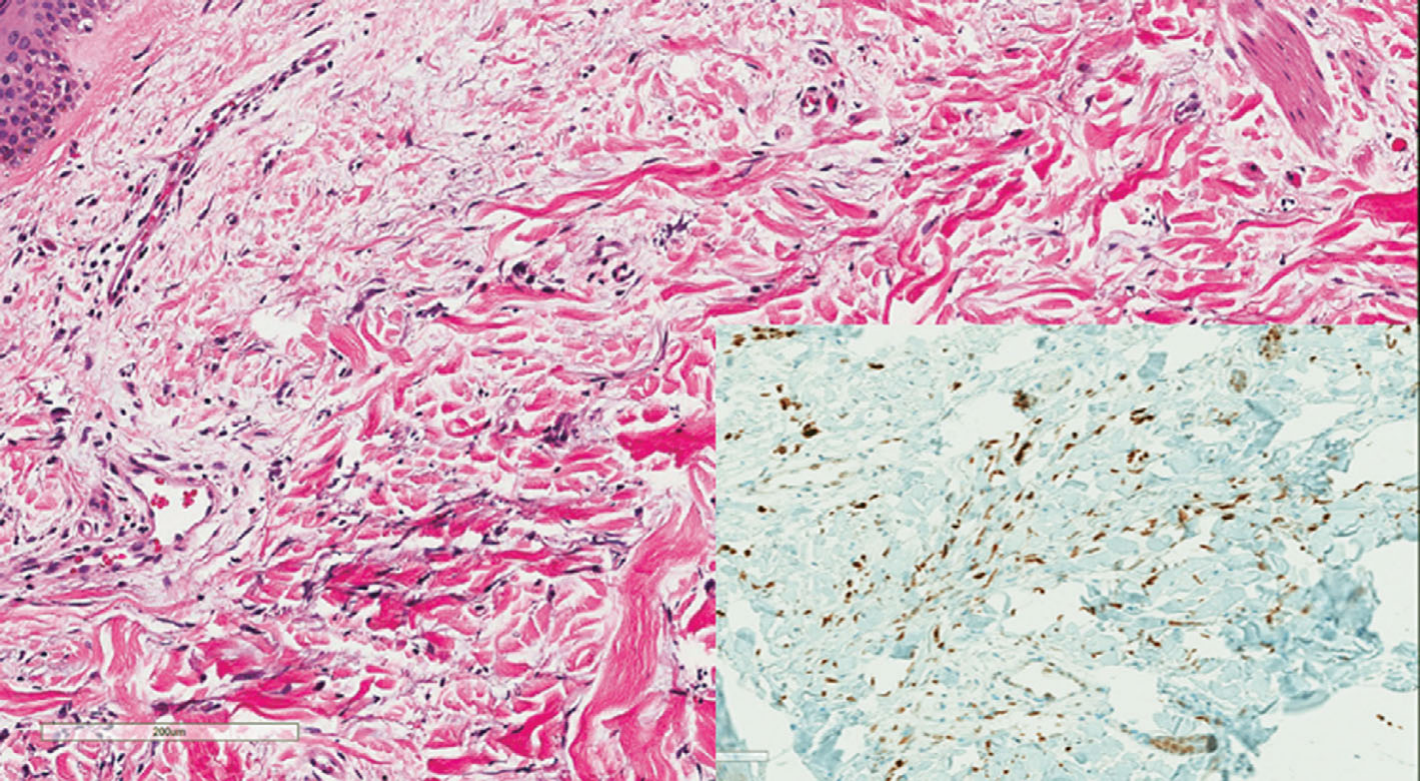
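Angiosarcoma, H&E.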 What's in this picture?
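Skin with a strip of epidermis at the upper left over dermis of pink collagen bundles, through which run narrow, irregular, thin-walled channels and scattered single or small clusters of dark, enlarged, irregular nuclei. A few open vessels, one holding red blood cells, and a bundle of smooth muscle at the upper right sit among the collagen. The inset shows many scattered spindle-shaped nuclei stained brown against a pale blue background.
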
